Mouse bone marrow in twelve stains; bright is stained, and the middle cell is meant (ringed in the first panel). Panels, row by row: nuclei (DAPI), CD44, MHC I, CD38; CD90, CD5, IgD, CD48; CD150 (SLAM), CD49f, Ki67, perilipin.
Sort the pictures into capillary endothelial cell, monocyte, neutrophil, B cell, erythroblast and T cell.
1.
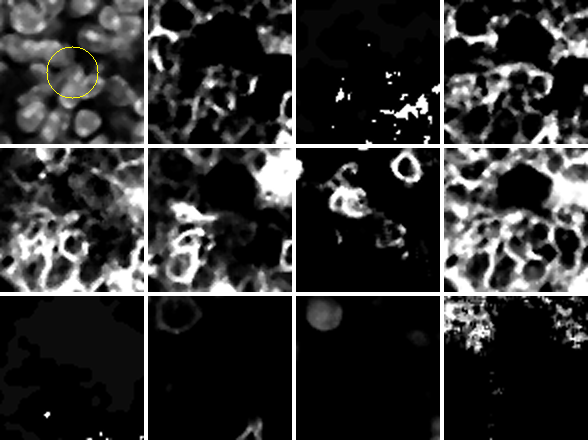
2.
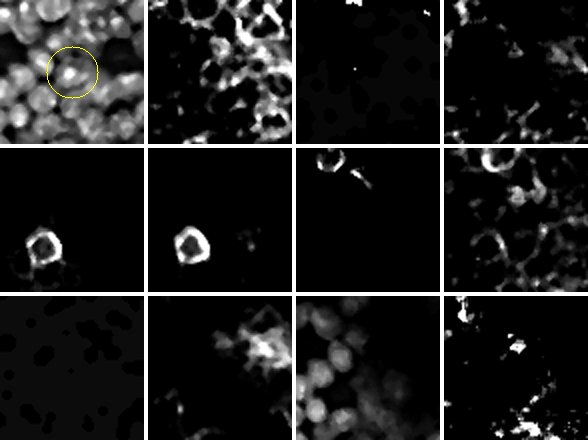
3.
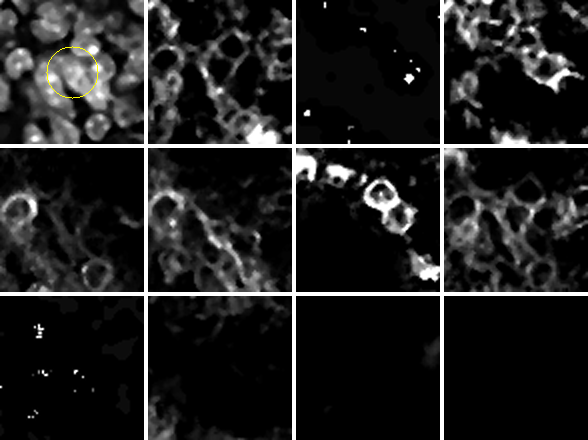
B cells: 1
Neutrophils: 2
Capillary endothelial cells: 3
